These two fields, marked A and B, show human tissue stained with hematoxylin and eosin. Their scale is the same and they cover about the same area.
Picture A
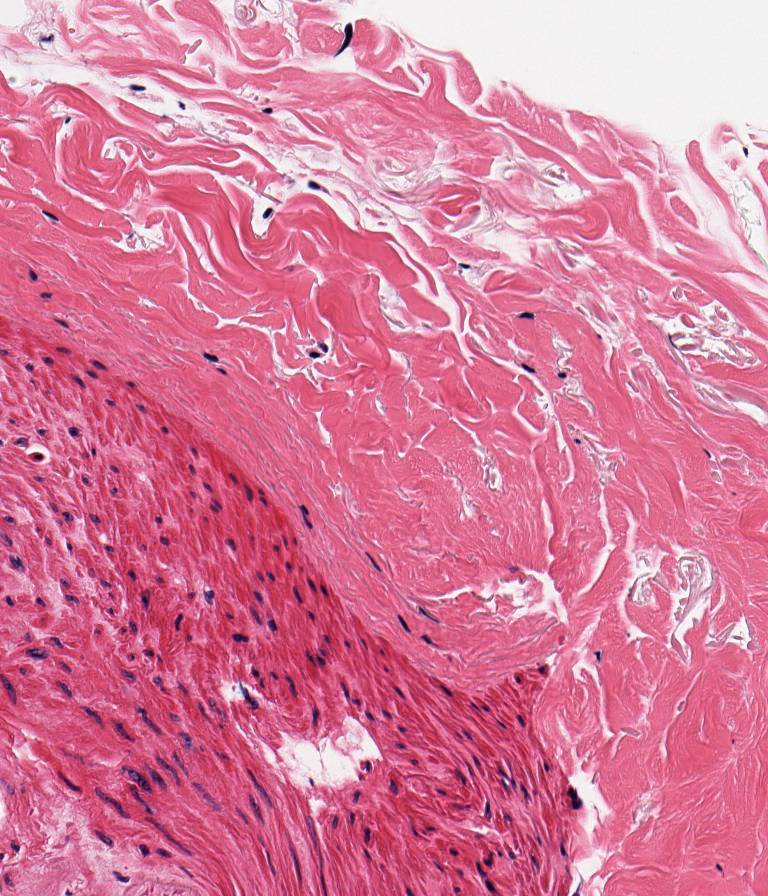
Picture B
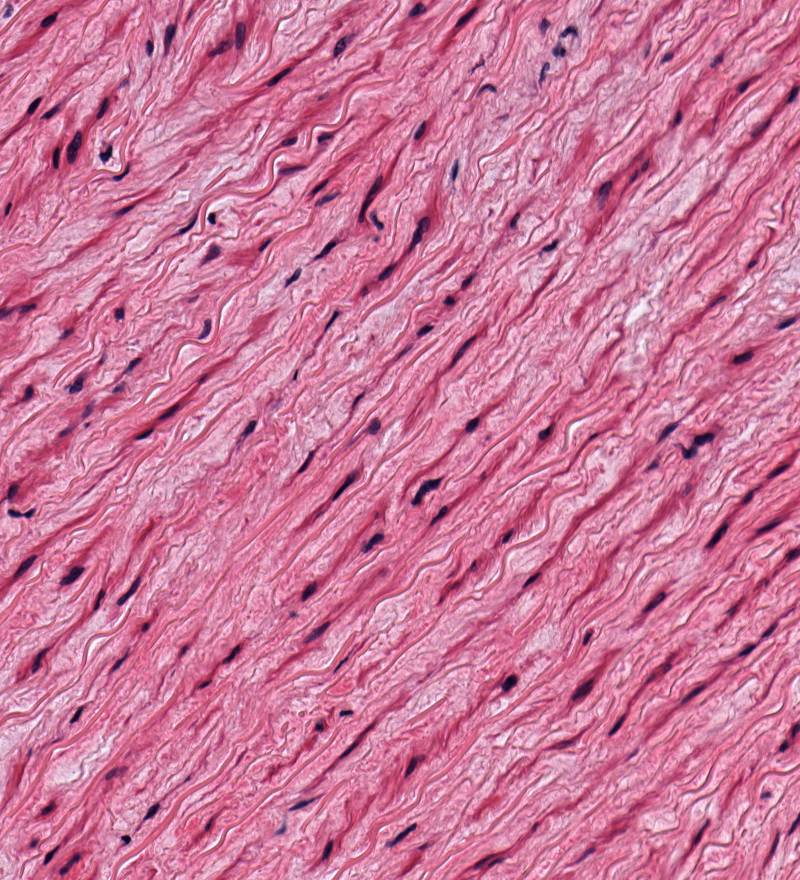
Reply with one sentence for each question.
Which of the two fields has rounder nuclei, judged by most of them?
Rounder nuclei lie in picture A.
